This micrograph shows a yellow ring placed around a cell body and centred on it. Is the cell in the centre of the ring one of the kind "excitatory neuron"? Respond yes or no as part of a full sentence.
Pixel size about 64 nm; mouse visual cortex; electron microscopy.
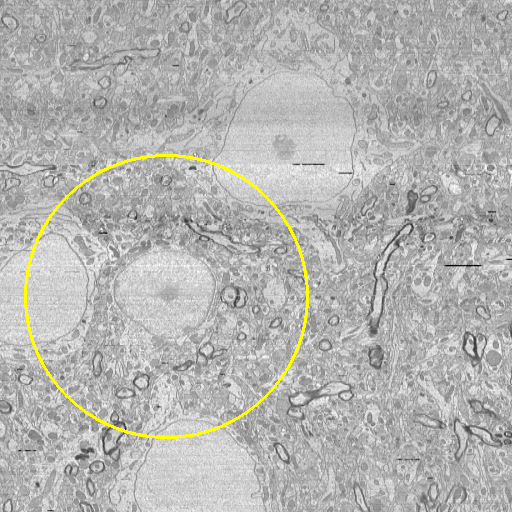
No, the cell in the centre of the ring within the picture belongs to another kind.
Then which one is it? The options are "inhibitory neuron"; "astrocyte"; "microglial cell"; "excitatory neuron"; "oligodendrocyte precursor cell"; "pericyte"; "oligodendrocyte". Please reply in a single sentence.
The cell this ring marks is an astrocyte.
